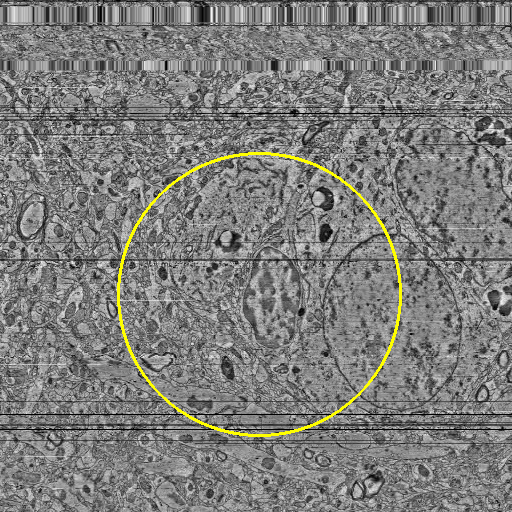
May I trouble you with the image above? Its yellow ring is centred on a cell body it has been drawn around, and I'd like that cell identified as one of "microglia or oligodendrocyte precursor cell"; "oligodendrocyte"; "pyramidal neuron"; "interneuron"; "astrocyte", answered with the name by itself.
microglia or oligodendrocyte precursor cell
